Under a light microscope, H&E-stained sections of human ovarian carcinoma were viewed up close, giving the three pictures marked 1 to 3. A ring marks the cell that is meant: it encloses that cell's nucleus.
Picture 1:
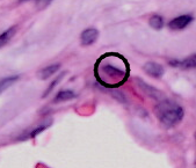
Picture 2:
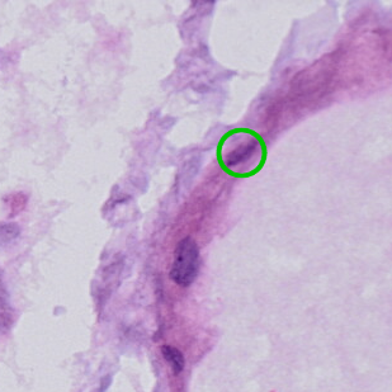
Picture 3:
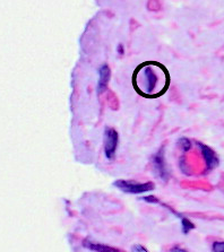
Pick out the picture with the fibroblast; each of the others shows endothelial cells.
3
